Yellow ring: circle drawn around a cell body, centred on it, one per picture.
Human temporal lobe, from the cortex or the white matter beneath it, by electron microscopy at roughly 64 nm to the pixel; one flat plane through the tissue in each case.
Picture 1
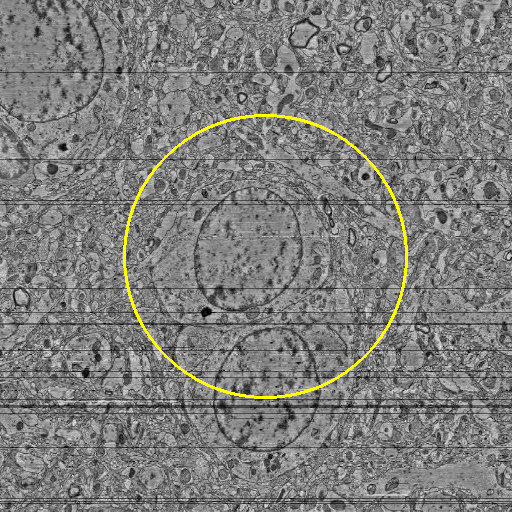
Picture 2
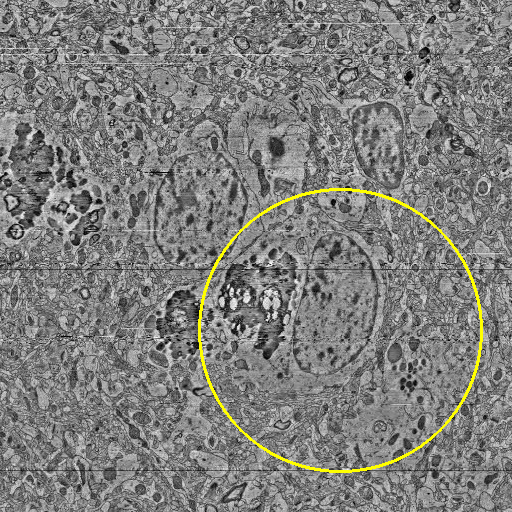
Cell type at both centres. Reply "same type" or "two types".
two types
